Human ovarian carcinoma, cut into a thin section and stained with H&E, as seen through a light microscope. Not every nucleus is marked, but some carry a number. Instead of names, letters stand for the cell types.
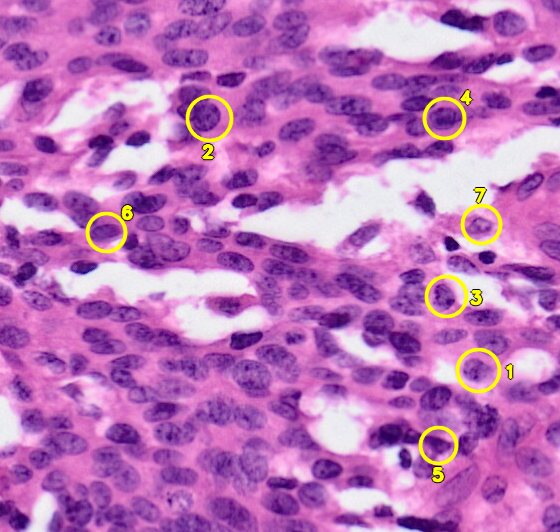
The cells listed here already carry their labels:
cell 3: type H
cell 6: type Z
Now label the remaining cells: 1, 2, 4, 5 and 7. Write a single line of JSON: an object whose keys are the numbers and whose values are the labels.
{"1": "type H", "2": "type Z", "4": "type Z", "5": "type Z", "7": "type H"}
